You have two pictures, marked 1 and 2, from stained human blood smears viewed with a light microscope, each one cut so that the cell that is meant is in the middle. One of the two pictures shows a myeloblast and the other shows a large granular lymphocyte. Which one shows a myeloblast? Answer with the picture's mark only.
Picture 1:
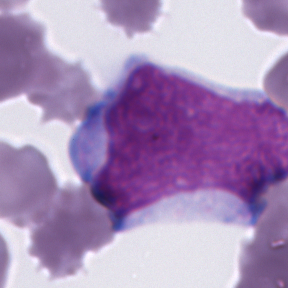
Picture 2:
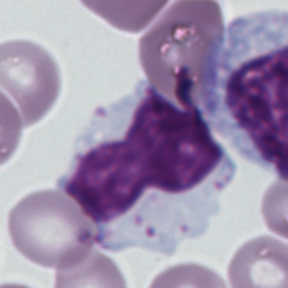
1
